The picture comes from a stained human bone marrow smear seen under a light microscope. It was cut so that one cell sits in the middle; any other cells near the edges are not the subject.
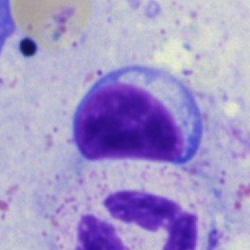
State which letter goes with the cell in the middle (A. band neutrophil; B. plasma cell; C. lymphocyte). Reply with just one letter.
C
